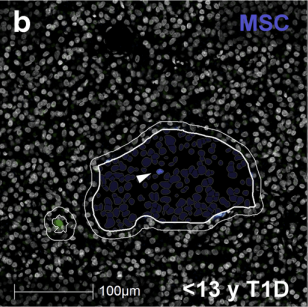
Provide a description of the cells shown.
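An oval islet, outlined in white, lies within tissue crowded with small grey nuclei. Near the upper centre of the islet, the white arrowhead points to a single small, intensely blue cell. It stands out sharply from the dimmer blue nuclei around it. To the lower left, a tiny separate cluster is circled with its own outline and shows green signal, forming a small islet-like group apart from the main one.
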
